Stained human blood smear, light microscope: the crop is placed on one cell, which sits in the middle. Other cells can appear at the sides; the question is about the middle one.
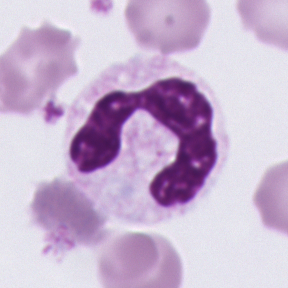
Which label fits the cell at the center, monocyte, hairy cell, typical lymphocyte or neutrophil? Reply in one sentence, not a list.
The cell occupying the middle of the crop is a neutrophil.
